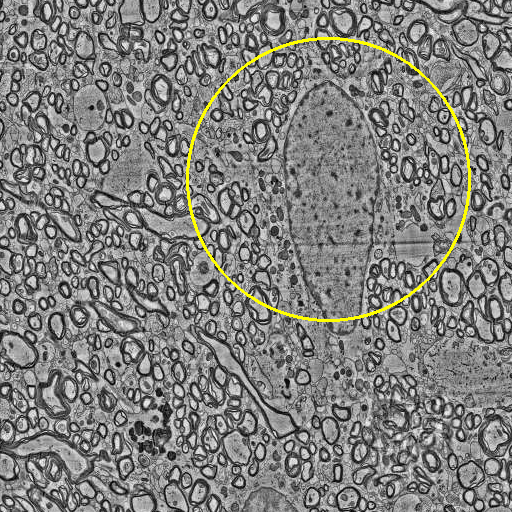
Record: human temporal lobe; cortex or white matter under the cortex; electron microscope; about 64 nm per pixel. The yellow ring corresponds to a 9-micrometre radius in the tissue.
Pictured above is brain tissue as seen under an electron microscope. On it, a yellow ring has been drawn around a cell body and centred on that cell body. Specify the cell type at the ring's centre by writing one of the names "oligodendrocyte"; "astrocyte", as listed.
astrocyte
